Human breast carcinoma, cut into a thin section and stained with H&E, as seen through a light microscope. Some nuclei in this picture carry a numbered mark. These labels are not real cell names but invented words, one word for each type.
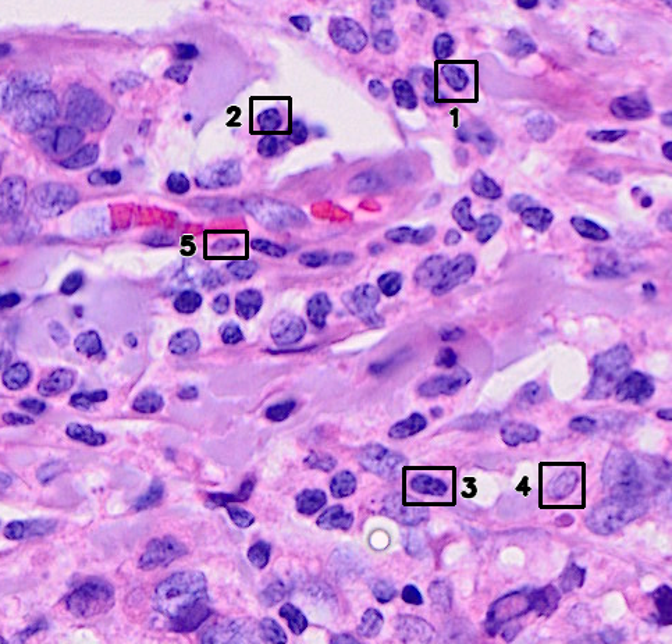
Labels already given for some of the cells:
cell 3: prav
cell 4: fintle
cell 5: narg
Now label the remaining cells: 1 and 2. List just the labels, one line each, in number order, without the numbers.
prav
prav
